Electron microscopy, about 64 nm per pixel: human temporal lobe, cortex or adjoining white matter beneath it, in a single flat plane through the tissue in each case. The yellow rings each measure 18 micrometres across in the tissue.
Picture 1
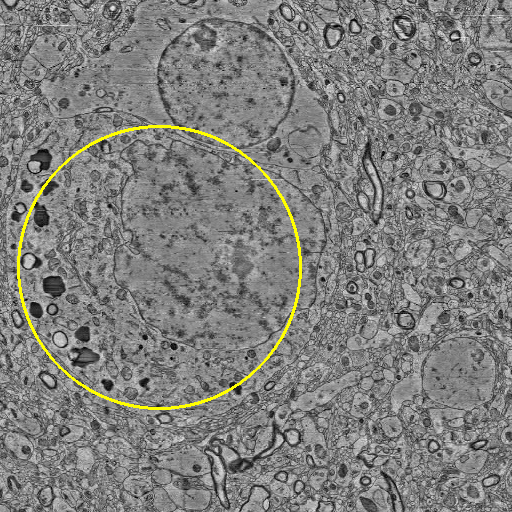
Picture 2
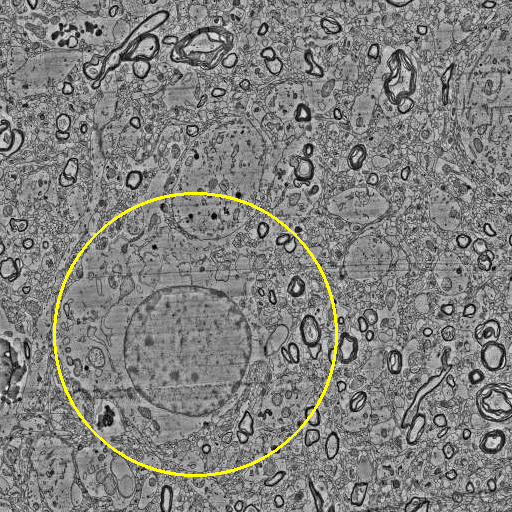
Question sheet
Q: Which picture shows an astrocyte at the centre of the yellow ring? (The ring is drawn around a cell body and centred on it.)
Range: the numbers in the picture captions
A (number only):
2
